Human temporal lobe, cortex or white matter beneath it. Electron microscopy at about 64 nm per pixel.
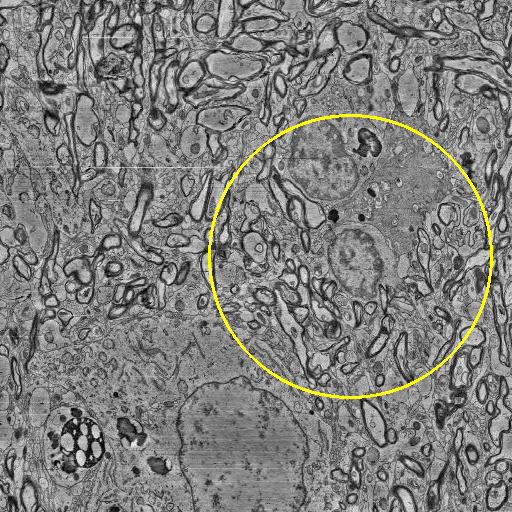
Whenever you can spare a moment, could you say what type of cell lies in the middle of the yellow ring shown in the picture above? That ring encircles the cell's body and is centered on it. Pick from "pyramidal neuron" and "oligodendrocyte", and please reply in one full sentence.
The cell whose body sits at the middle of the yellow ring is an oligodendrocyte.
